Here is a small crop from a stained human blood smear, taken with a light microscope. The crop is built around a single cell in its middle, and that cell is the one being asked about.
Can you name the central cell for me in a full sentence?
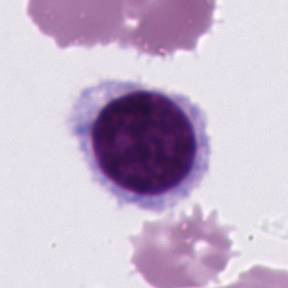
The centered cell in this crop is a hairy cell.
